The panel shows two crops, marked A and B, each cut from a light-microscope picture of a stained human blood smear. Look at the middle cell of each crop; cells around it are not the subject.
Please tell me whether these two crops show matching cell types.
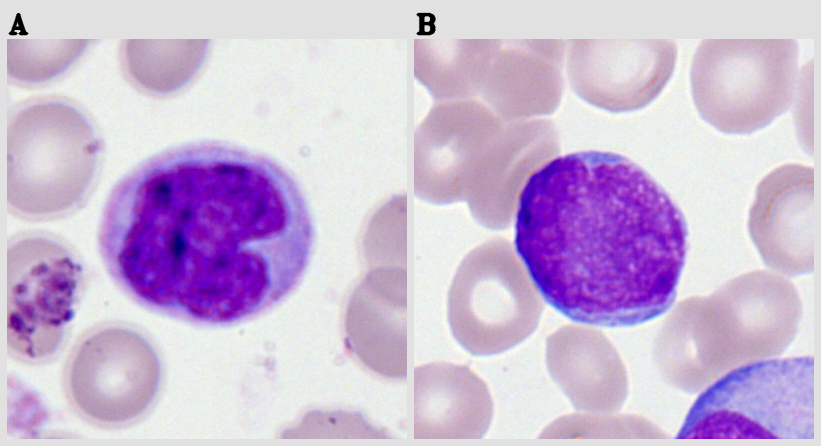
no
